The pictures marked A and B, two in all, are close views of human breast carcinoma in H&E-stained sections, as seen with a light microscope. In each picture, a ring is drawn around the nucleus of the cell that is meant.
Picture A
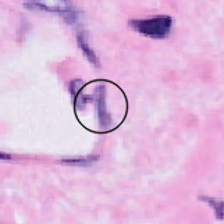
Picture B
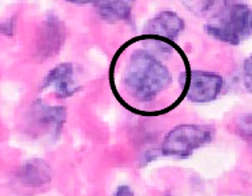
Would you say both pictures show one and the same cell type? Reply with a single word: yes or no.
no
